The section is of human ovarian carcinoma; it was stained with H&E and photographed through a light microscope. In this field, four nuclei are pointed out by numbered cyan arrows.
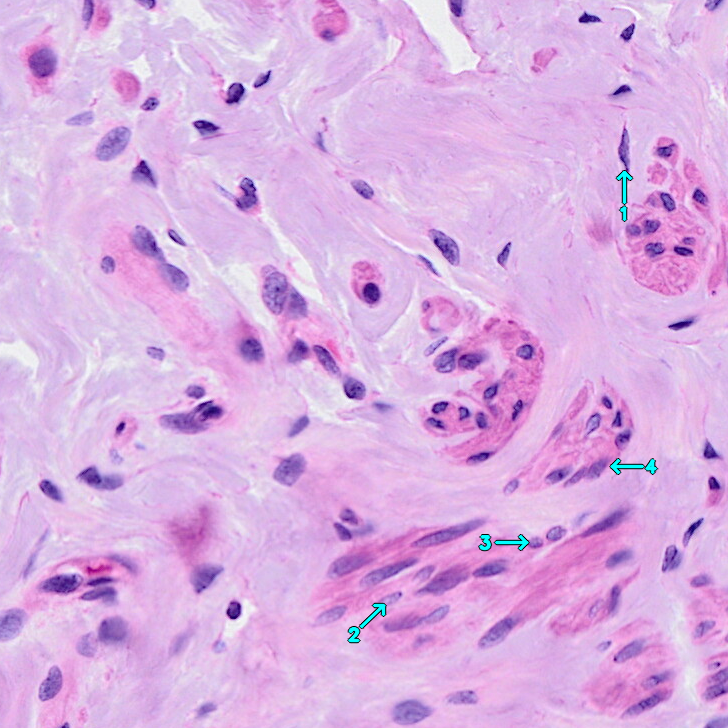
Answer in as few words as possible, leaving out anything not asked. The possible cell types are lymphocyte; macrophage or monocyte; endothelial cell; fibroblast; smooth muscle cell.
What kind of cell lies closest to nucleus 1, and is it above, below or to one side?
a smooth muscle cell, to the right of nucleus 1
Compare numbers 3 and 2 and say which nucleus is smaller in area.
3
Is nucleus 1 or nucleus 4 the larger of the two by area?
1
